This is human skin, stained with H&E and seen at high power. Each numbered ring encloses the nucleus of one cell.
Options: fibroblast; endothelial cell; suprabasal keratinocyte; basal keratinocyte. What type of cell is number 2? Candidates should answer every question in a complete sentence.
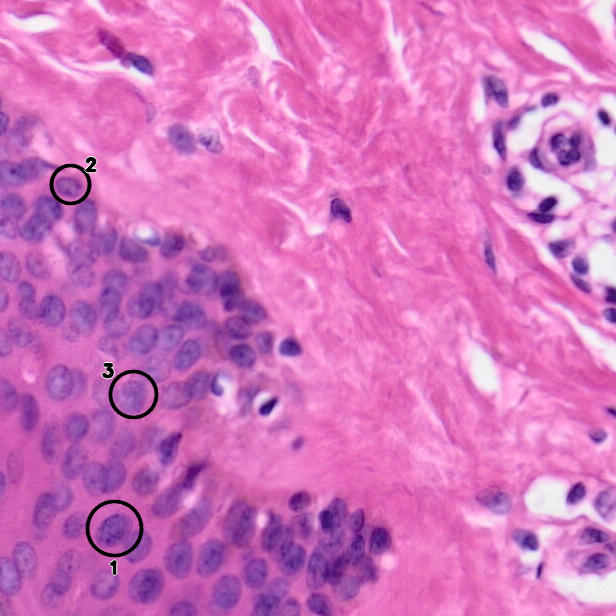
Classified as a basal keratinocyte is the cell with the number 2.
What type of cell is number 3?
Regarding cell 3, this one is a suprabasal keratinocyte.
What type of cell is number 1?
The identity of cell 1 is that of a suprabasal keratinocyte.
